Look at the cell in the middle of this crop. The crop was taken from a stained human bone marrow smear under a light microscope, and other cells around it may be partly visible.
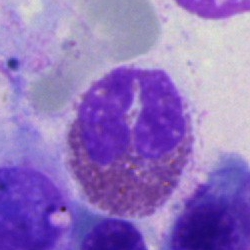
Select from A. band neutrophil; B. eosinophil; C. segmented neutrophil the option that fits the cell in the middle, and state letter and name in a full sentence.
In this crop the middle cell is an eosinophil, so option B is the correct answer.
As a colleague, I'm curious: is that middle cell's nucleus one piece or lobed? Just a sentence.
It is worth mentioning that the nucleus carries two or more lobes.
